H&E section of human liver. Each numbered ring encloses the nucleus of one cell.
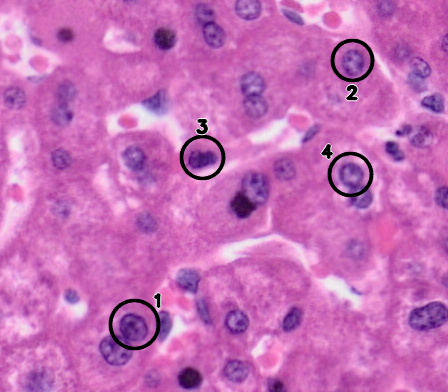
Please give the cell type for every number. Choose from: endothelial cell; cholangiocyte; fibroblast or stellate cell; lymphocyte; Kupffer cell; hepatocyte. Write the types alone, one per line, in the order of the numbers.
hepatocyte
hepatocyte
Kupffer cell
hepatocyte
